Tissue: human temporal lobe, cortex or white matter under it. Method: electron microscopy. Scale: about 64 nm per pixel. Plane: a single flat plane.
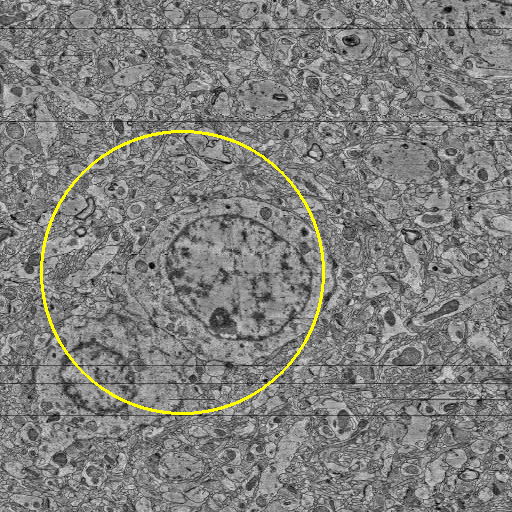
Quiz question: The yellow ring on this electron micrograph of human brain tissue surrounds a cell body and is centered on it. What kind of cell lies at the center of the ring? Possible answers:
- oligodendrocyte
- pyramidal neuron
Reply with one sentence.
The ring's center lies on a pyramidal neuron.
